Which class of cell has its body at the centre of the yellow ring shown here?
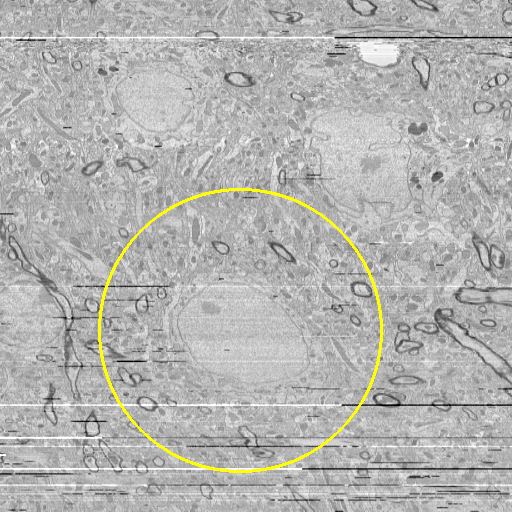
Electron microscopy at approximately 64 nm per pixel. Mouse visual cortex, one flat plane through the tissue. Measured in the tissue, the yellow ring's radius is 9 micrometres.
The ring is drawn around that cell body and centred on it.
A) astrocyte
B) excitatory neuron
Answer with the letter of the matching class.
B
